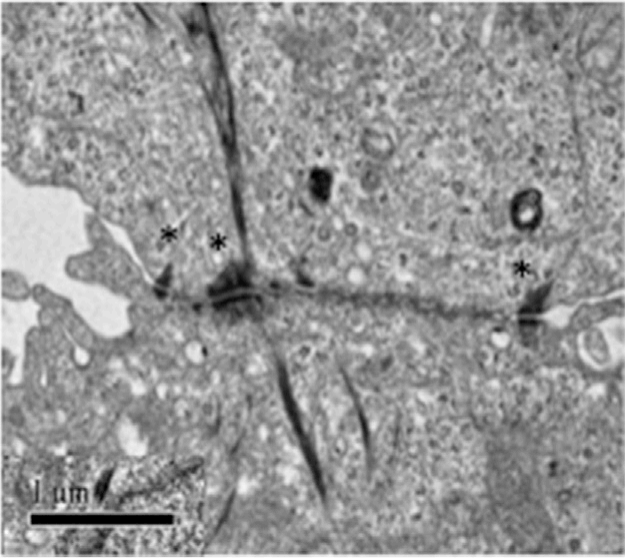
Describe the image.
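This high-magnification transmission electron micrograph shows the boundary between two adjacent cells, which runs roughly horizontally across the field. Along this membrane lie several desmosomes, seen as dense, dark plaques on both sides of the junction. Bundles of dark filaments radiate from these plaques deep into the cytoplasm. The surrounding cytoplasm is finely granular with small vesicles, and at the left edge the membrane opens into a space with irregular surface projections.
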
